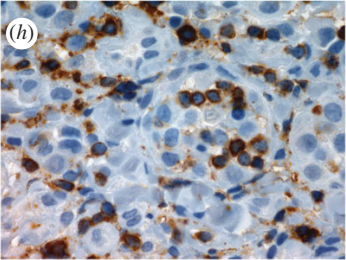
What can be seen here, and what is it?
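The lymphocytes are small round cells with dark, round nuclei and a thin brown rim around them. The tumour cells are larger, with pale blue-grey cytoplasm and oval nuclei, and are grouped in rounded clusters. The tumour cells themselves carry no brown stain.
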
